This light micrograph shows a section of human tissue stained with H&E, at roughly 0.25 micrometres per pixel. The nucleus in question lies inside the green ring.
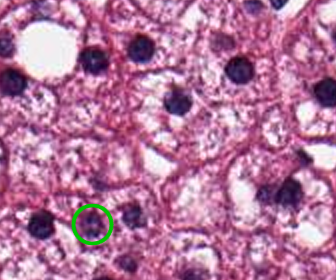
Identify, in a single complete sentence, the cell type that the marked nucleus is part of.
The marked nucleus is located in an adrenal cortical cell.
